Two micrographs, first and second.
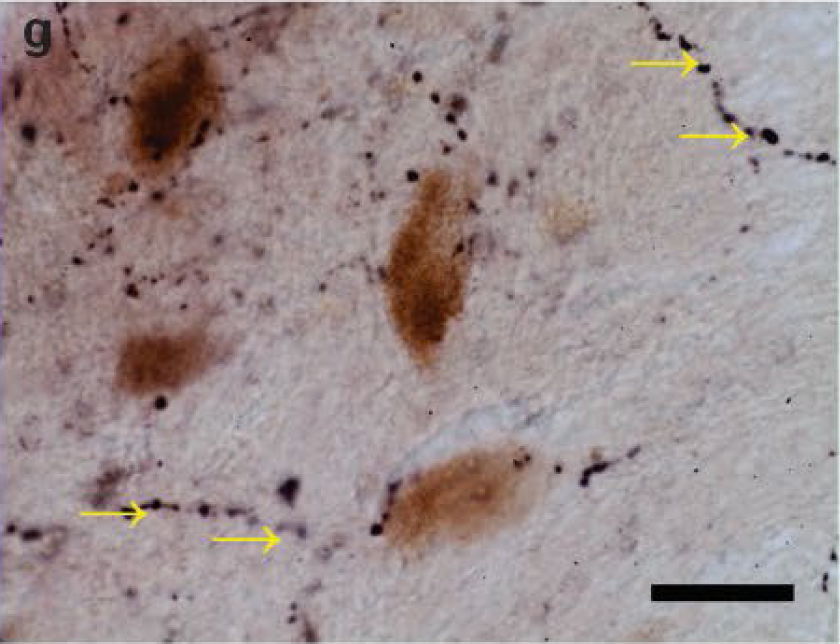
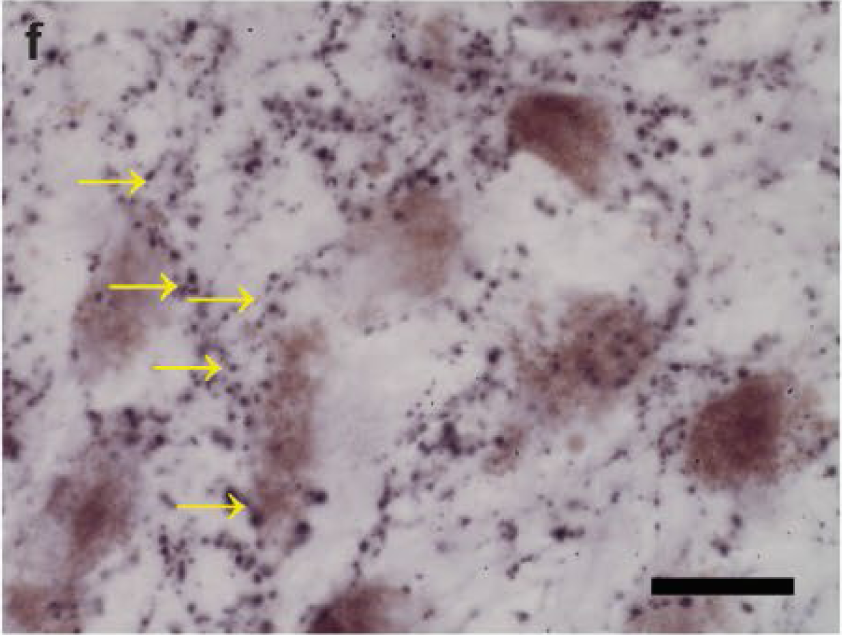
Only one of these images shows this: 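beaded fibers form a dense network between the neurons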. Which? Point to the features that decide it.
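The second image. First image: only a few sparse beaded threads cross the field. Second image: many dark beaded threads and dots crowd the spaces between the cell bodies.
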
